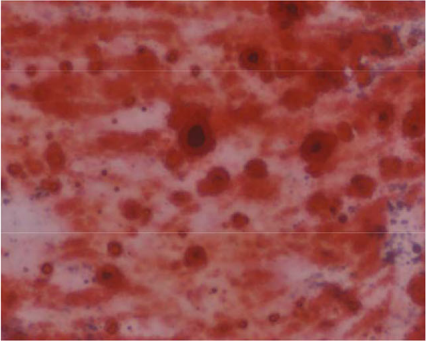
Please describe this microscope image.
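The culture is almost entirely covered by a dense orange-red stain, with paler, whitish-violet gaps here and there. Scattered through it are many rounded nodules of varying size that stain a deeper red, some with darker centres. Individual cell outlines are hard to make out beneath the staining.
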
